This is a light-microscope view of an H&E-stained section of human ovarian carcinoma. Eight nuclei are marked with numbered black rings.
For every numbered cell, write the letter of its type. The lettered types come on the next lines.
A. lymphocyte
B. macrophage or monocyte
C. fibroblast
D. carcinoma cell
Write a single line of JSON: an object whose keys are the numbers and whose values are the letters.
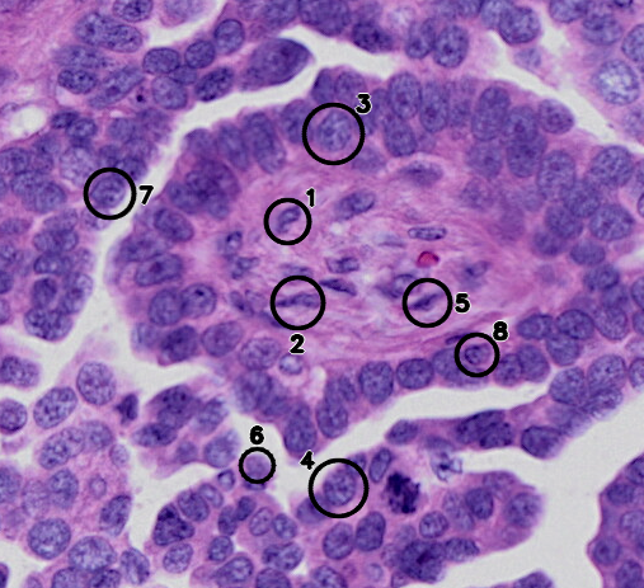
{"1": "C", "2": "C", "3": "D", "4": "D", "5": "C", "6": "D", "7": "D", "8": "B"}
